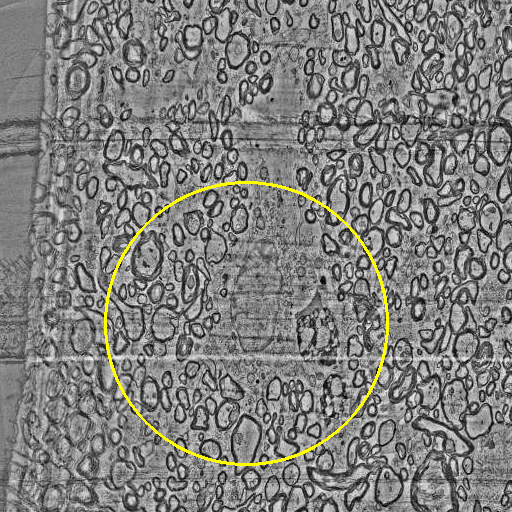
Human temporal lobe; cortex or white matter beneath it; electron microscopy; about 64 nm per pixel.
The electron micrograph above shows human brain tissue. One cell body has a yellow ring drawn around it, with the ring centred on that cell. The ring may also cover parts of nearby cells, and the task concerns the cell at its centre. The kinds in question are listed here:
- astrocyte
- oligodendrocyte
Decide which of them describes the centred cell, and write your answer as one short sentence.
The centred cell is an astrocyte.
